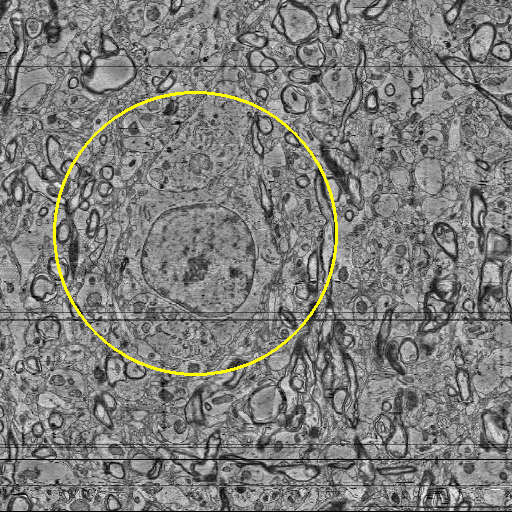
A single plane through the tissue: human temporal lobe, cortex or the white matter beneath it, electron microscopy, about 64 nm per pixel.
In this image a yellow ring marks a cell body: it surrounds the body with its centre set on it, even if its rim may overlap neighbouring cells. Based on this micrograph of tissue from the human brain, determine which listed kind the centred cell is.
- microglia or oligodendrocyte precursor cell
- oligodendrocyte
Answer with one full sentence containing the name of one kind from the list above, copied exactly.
It is a microglial cell or oligodendrocyte precursor cell whose body the yellow ring encloses at its centre.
